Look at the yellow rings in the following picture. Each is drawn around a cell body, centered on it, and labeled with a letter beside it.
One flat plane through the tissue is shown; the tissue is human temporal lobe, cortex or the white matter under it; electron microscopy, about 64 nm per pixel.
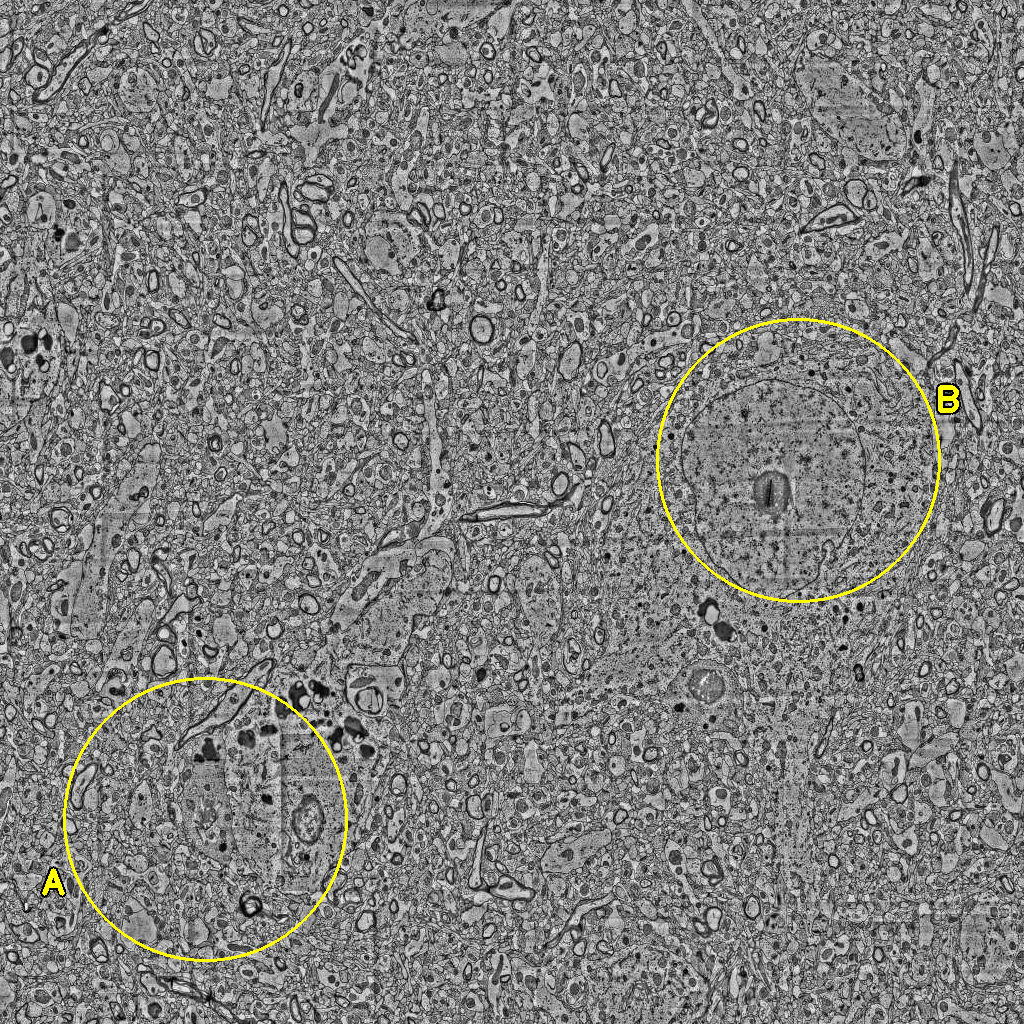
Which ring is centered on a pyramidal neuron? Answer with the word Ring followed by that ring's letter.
Ring B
